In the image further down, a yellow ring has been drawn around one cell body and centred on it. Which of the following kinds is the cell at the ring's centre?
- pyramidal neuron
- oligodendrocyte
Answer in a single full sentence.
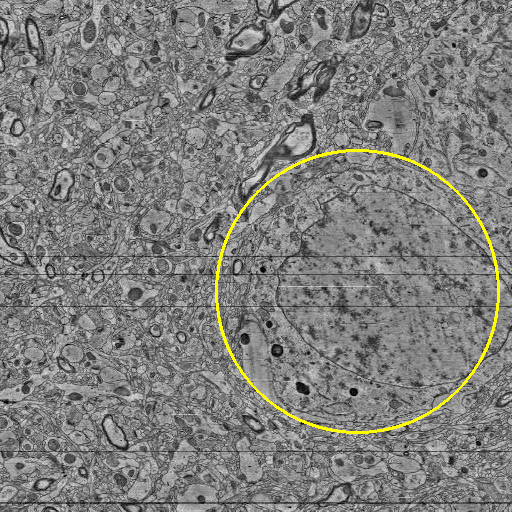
In the picture, the cell sitting at the centre of the yellow ring is a pyramidal neuron.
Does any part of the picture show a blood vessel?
No, a blood vessel is absent from this picture.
